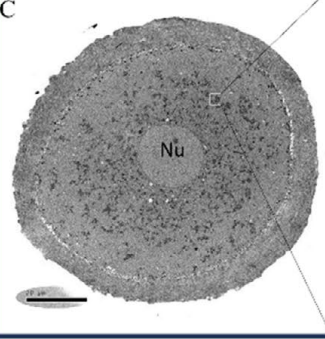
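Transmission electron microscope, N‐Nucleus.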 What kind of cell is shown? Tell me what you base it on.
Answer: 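Oocyte. A single very large round cell. Wide granular cytoplasm with scattered dark particles. A pale rounded central region.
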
